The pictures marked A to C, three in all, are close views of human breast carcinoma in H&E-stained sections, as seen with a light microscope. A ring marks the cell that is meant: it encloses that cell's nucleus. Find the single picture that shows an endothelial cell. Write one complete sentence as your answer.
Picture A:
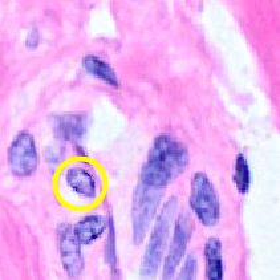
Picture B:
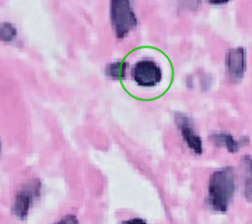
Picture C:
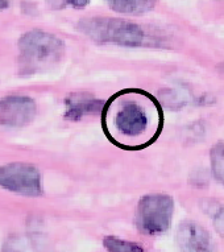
It is picture A that shows the endothelial cell.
